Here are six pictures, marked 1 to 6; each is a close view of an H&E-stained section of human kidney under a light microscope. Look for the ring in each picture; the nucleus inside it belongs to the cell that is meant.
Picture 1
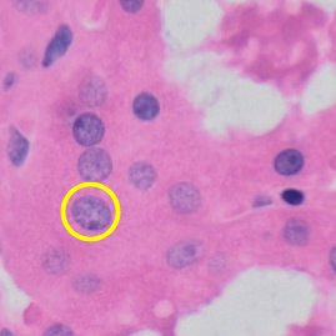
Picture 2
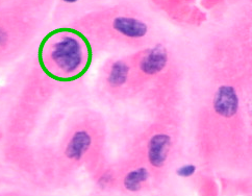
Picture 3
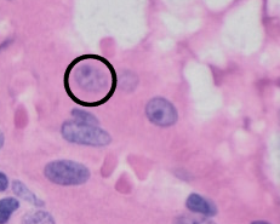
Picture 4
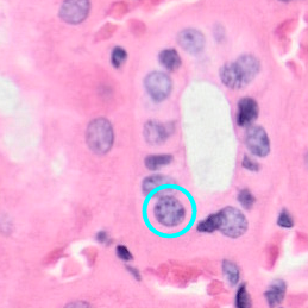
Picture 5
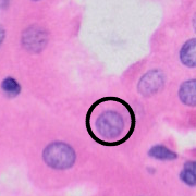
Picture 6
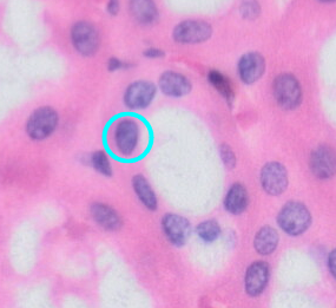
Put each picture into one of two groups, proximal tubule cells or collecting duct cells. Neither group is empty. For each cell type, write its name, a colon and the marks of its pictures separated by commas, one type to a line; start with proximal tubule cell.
proximal tubule cell: 1, 2, 3, 5
collecting duct cell: 4, 6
